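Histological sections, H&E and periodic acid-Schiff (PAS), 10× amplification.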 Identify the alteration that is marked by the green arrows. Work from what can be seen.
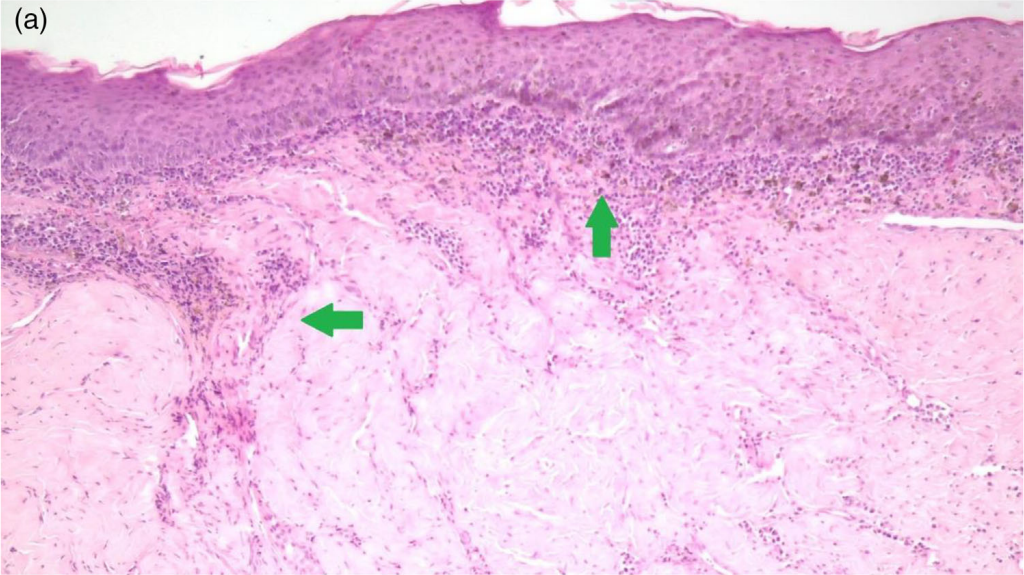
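A dense band of small dark round nuclei lies just beneath the epidermis. The band runs parallel to the skin surface across the upper dermis. That points to this answer: Inflammatory bands infiltrate.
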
